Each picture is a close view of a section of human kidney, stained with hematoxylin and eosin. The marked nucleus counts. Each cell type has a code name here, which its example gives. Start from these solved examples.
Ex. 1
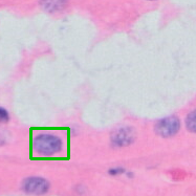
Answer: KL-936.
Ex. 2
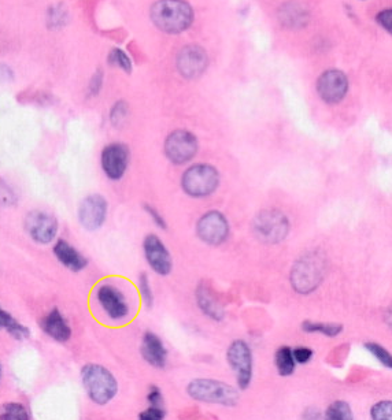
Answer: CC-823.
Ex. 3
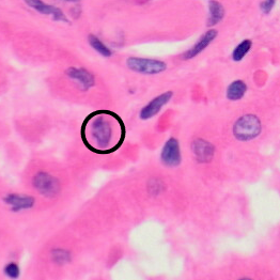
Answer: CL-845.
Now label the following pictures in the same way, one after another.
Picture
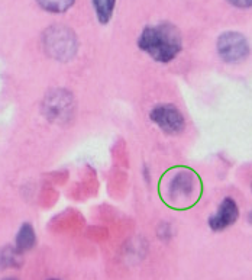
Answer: KL-936.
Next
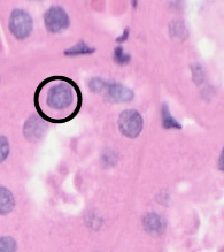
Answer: KL-936.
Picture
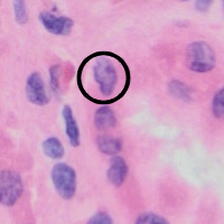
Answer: CL-845.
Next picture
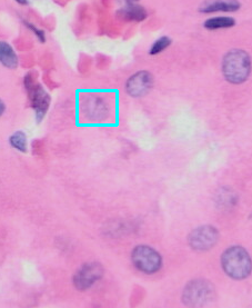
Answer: CL-845.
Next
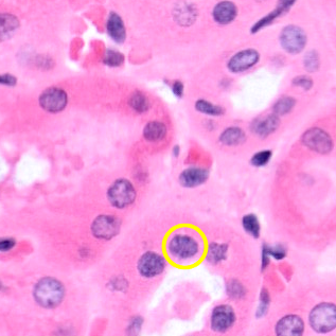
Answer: KL-936.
